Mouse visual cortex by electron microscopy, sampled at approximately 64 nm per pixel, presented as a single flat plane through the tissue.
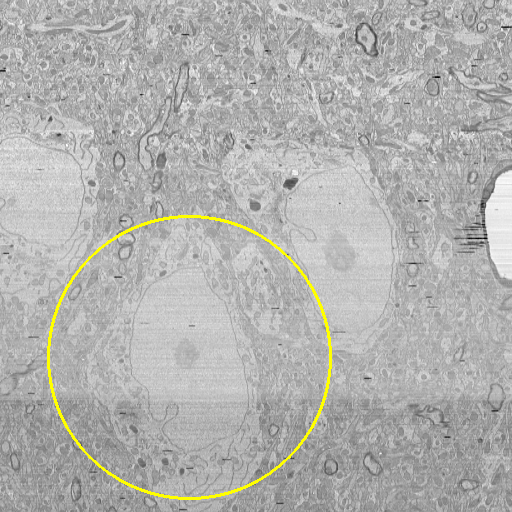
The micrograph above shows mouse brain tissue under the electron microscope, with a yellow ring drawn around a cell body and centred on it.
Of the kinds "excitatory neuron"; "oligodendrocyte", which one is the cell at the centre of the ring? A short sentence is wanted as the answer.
The one at the centre of the ring is an excitatory neuron.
